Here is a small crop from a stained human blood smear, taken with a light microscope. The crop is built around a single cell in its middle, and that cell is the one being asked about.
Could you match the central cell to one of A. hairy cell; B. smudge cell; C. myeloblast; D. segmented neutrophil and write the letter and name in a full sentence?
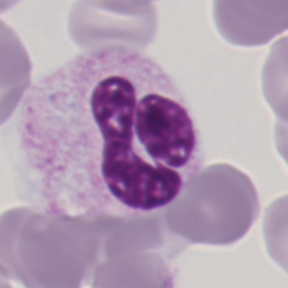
What sits in the middle of the crop is a segmented neutrophil, and option D is correct.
